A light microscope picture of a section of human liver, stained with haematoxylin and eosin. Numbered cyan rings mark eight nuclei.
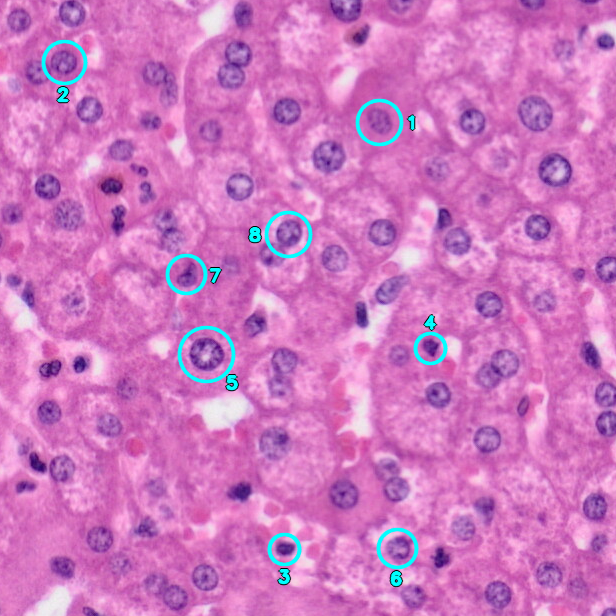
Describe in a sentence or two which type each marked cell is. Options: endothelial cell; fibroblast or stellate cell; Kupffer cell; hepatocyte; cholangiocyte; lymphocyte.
Cells 1, 2, 5, 6 and 8 are hepatocytes. Cell 3 is a lymphocyte. Cell 4 is a fibroblast or stellate cell. Cell 7 is an endothelial cell.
